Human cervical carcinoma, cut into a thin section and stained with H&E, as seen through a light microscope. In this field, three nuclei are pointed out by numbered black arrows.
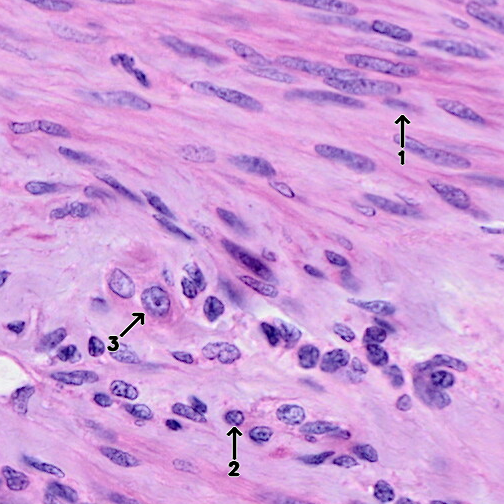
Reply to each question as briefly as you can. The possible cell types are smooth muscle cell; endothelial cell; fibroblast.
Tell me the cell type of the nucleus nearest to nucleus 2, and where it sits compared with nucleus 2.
a smooth muscle cell, below and to the right of nucleus 2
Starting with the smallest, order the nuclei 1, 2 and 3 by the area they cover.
2, 1, 3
